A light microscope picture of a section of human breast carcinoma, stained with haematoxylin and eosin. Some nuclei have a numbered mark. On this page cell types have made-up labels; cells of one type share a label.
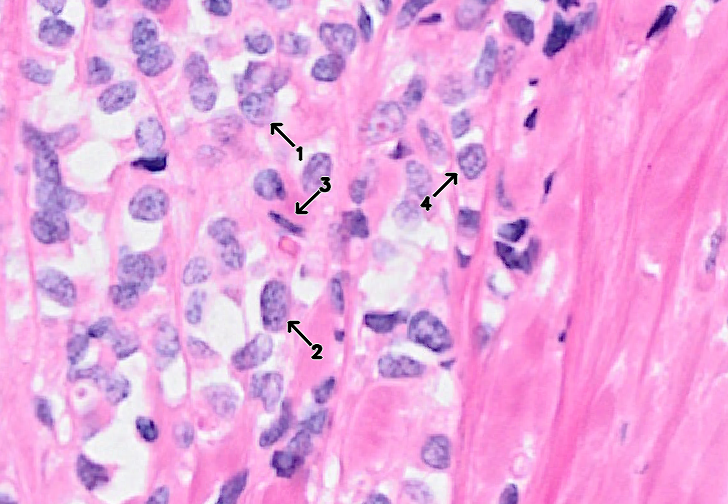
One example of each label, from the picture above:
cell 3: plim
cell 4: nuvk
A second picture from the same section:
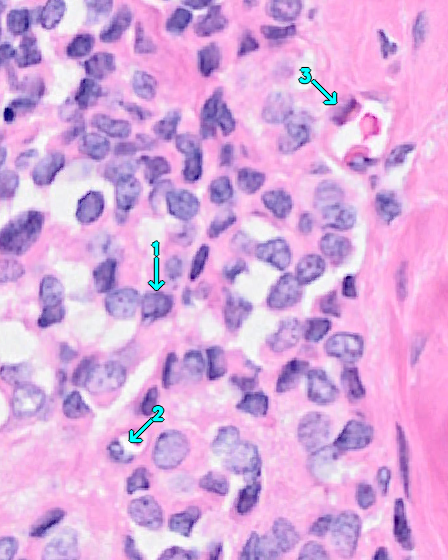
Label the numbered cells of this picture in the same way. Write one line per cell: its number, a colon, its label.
1: nuvk
2: plim
3: plim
